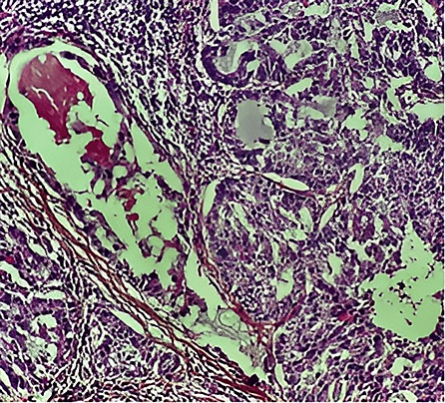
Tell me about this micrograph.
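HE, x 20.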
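Tumor proliferation arranged in cribriform nests and glands separated by stroma. Cells are crowded with dark purple nuclei and scant cytoplasm. Multiple lumens of various shapes lie within the nests and contain pale homogeneous material. A large gland-like space at the upper left is partly filled with red, eosinophilic material. Wavy pink-red fibrous strands run along the lower left.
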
